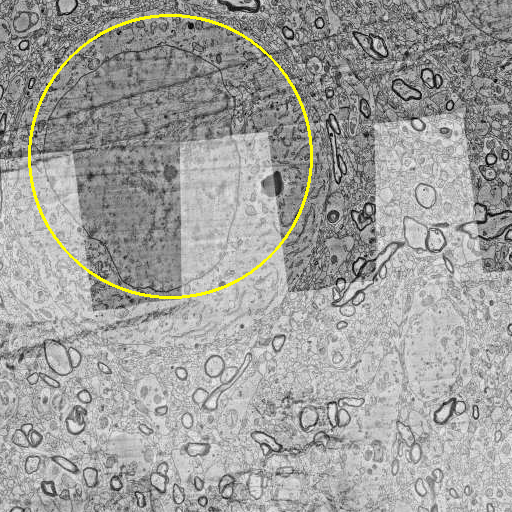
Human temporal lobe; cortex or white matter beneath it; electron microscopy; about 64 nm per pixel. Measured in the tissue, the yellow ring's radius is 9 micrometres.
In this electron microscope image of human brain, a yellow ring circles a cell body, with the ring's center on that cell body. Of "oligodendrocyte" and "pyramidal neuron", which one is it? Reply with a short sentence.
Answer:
It is a pyramidal neuron at the center of the ring.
